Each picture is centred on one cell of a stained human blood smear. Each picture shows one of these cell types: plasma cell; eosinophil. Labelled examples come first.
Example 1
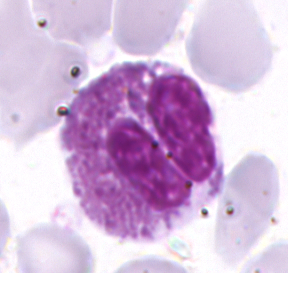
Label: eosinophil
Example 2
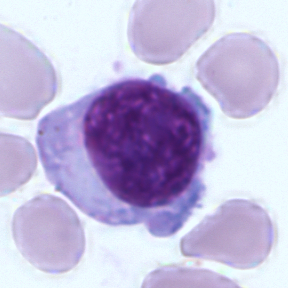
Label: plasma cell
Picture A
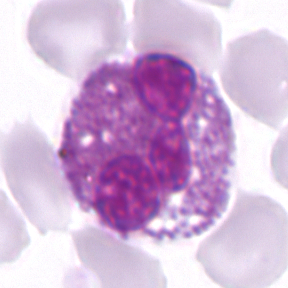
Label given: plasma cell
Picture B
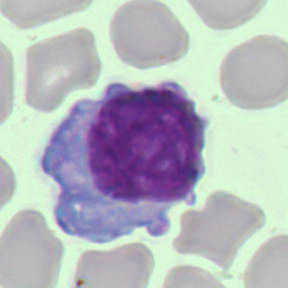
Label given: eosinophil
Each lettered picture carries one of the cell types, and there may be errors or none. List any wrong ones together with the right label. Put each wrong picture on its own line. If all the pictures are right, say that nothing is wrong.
A: not plasma cell but eosinophil
B: not eosinophil but plasma cell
